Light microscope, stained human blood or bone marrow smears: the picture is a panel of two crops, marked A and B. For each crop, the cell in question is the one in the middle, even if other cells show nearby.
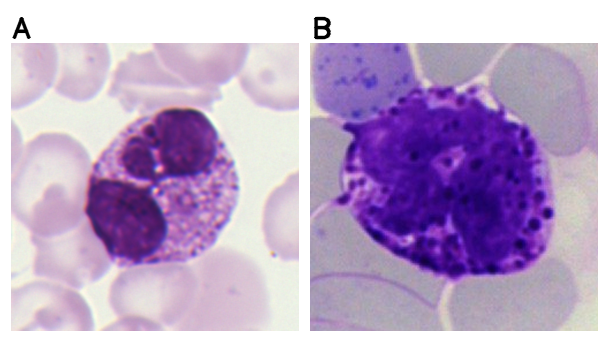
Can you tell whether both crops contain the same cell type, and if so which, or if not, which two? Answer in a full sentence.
Yes, it is basophils that both crops show.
